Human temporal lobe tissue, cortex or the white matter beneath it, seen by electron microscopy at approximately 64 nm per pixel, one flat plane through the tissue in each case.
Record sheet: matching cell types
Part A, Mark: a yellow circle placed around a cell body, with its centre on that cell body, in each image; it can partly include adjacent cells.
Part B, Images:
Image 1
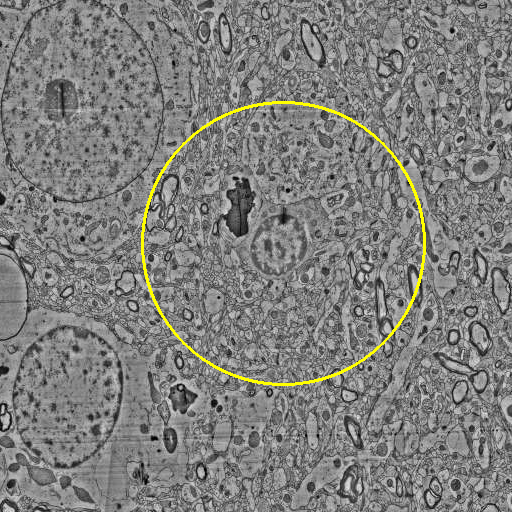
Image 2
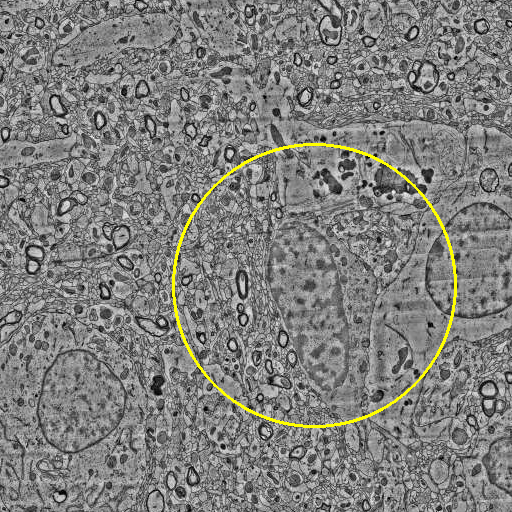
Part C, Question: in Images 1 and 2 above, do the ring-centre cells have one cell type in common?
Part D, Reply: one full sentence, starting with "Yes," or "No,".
Yes, the ring-centre cells of Image 1 and Image 2 are both of a single cell type.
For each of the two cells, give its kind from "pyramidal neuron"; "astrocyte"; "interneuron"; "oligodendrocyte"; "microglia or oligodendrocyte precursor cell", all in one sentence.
Each of the two rings surrounds an oligodendrocyte.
